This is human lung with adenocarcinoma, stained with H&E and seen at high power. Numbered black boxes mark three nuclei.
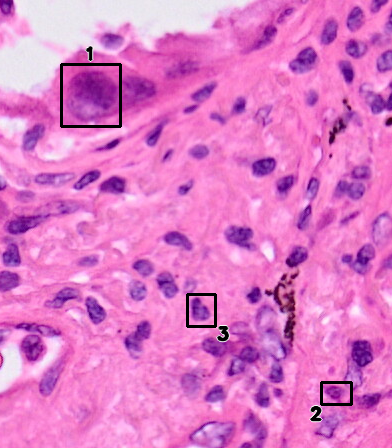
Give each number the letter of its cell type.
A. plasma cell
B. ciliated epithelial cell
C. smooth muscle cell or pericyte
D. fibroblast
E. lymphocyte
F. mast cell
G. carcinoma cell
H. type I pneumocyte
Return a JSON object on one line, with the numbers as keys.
{"1": "G", "2": "A", "3": "E"}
